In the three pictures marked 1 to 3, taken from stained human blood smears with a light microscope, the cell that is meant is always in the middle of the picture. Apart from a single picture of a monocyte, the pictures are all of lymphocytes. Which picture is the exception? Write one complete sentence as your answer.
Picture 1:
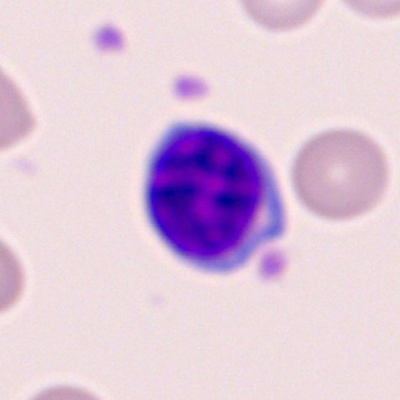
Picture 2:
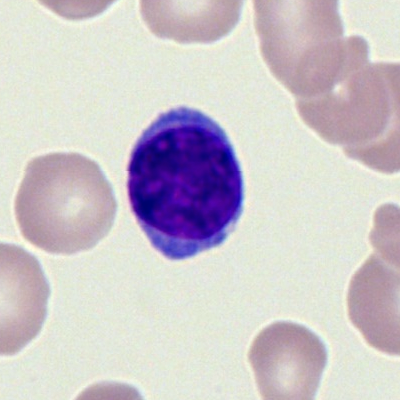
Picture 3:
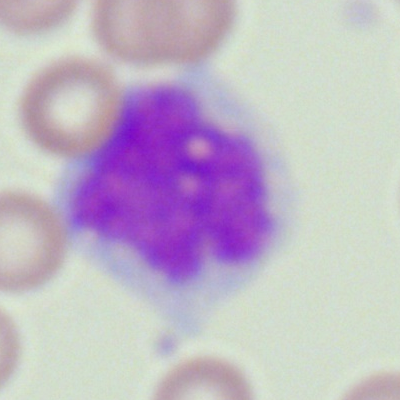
The picture with the monocyte is 3.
